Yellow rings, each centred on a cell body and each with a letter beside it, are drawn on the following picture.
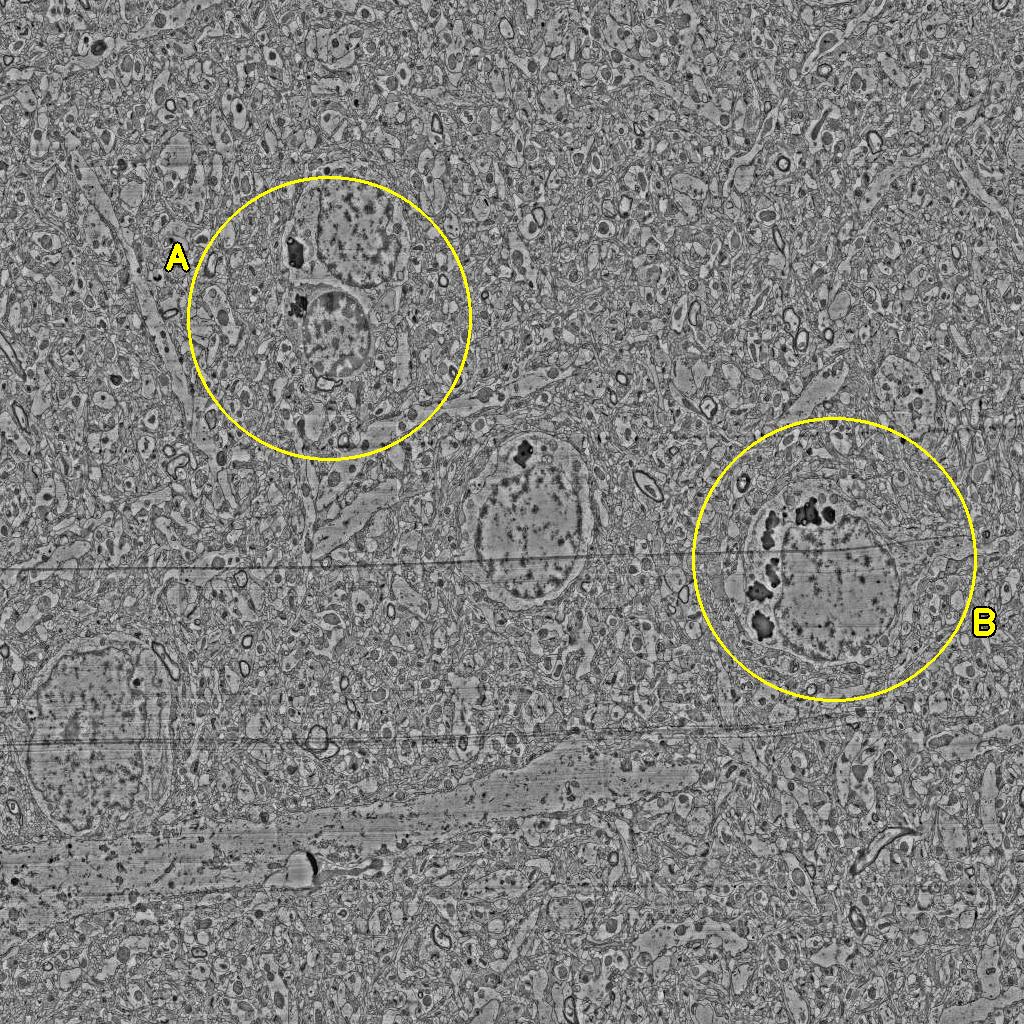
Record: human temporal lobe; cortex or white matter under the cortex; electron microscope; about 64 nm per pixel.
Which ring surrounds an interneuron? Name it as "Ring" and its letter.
Ring B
